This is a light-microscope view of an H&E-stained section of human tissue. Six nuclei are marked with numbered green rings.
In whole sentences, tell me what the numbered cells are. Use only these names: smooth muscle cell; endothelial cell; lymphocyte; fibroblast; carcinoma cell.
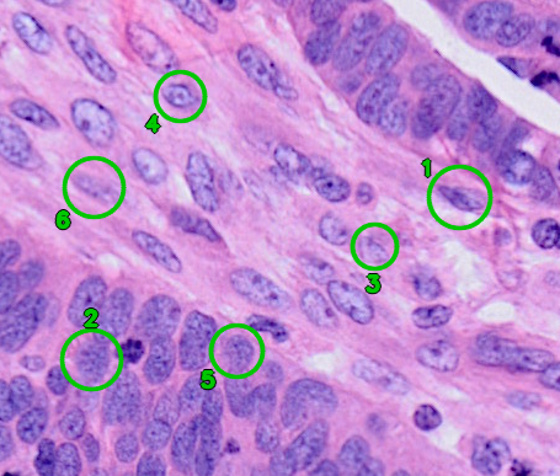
Cell 1 is a fibroblast, cell 2 is a carcinoma cell, cell 3 is a fibroblast, cell 4 is a fibroblast, cell 5 is a carcinoma cell and cell 6 is a fibroblast.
